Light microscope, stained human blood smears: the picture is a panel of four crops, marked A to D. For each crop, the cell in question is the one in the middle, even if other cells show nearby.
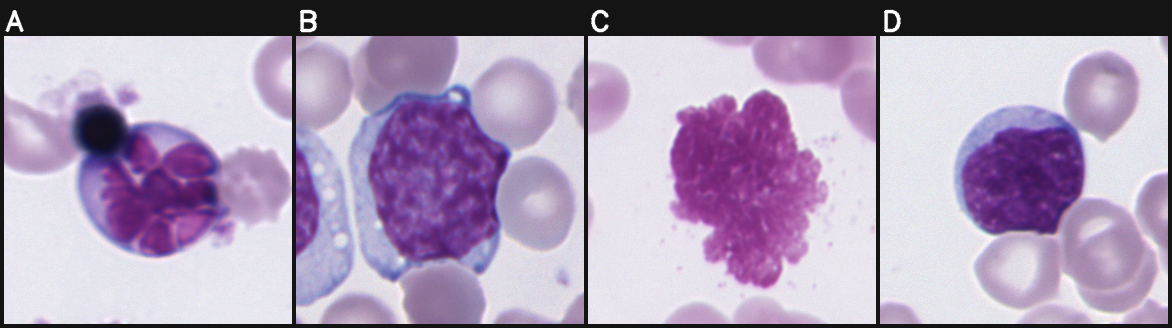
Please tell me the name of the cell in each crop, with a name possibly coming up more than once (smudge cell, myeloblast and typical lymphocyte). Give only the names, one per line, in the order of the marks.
typical lymphocyte
myeloblast
smudge cell
typical lymphocyte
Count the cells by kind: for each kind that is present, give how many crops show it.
typical lymphocyte: 2
myeloblast: 1
smudge cell: 1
